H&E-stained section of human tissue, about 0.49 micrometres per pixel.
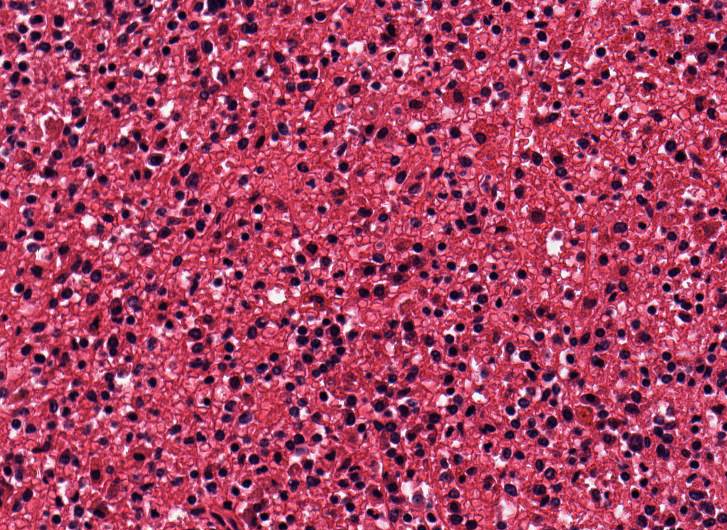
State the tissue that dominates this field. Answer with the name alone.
red pulp of the spleen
